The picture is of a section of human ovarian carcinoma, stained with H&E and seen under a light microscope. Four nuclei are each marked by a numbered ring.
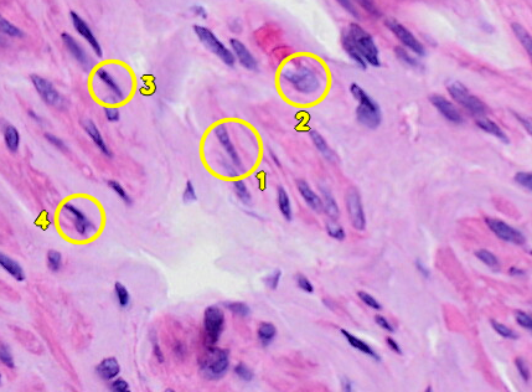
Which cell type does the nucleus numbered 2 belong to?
endothelial cell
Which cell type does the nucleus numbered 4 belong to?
smooth muscle cell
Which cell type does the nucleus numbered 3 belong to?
smooth muscle cell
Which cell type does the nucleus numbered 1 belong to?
smooth muscle cell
